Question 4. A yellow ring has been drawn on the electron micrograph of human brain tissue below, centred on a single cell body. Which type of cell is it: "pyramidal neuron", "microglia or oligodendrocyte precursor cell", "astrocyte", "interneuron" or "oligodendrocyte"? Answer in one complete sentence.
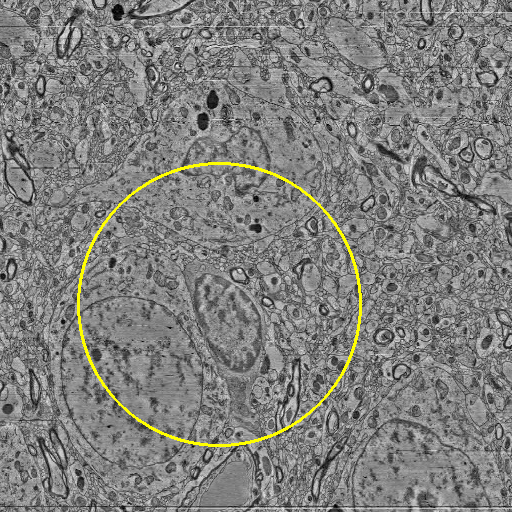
This cell body belongs to an oligodendrocyte.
